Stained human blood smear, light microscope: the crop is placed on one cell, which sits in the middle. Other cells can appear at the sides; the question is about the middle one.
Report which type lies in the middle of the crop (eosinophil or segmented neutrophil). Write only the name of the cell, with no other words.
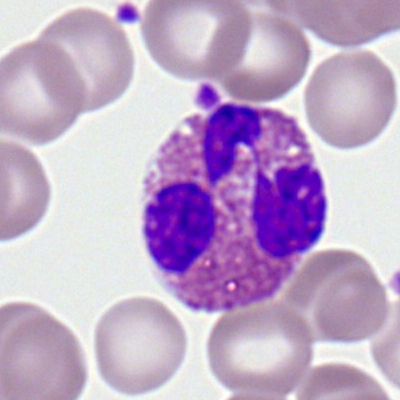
eosinophil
